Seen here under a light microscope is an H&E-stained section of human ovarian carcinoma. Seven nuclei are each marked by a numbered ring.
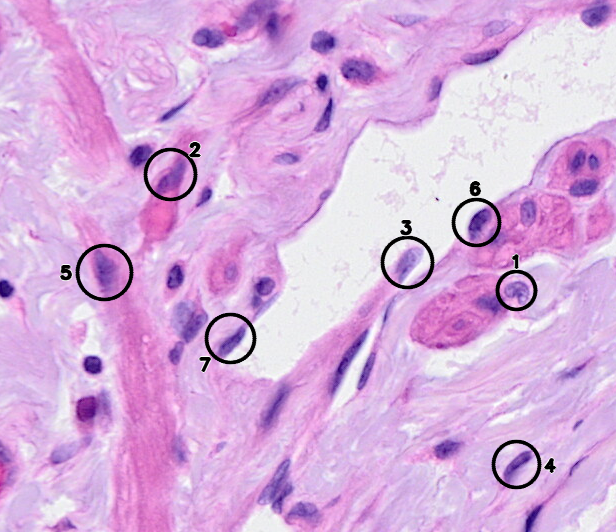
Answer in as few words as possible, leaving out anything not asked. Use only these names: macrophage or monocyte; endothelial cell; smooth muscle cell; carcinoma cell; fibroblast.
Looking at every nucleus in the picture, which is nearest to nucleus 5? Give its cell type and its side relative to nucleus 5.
a macrophage or monocyte, to the right of nucleus 5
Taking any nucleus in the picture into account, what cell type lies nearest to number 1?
smooth muscle cell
